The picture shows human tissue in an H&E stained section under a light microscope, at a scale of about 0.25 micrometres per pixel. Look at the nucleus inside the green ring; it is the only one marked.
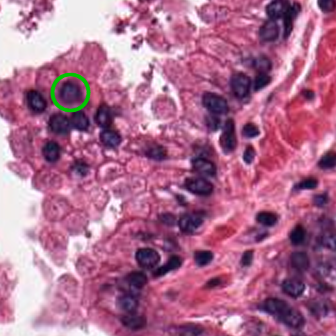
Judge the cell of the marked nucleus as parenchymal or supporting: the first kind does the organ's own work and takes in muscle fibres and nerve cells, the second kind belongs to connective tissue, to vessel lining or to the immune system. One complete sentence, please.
The marked nucleus forms part of a parenchymal cell, namely a prostate gland luminal cell.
